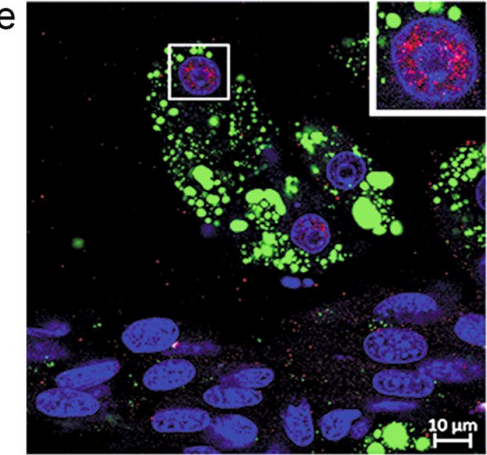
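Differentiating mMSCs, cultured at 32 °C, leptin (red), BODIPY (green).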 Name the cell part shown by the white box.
nucleus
